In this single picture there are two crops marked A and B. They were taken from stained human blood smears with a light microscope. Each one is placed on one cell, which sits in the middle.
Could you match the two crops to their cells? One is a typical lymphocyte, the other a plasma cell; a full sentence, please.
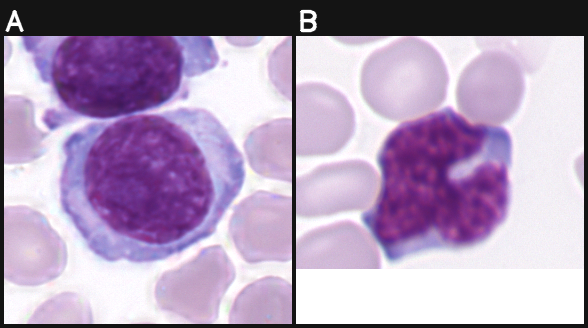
Crop A features a plasma cell, and crop B features a typical lymphocyte.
